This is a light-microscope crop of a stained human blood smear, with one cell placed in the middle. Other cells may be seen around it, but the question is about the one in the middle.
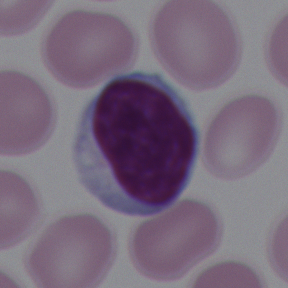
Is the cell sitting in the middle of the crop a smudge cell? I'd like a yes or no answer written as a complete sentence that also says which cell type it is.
No, the cell in the middle is recognised as a typical lymphocyte rather than a smudge cell.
